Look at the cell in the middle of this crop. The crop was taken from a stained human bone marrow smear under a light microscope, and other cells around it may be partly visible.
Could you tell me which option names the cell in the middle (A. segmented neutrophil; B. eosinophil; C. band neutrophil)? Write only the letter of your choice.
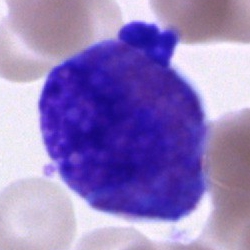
B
